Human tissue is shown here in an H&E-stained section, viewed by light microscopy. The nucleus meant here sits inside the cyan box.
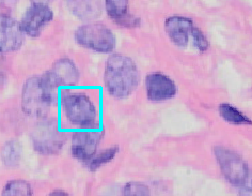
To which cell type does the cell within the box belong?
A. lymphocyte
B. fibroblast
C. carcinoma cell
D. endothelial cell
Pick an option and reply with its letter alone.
C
